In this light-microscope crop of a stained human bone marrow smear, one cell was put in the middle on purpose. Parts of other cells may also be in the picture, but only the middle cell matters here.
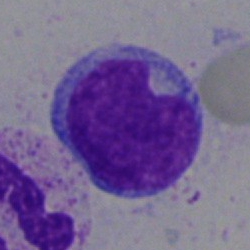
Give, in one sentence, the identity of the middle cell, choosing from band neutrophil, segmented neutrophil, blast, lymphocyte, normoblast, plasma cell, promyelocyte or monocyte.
The cell positioned in the middle of the field is a blast.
